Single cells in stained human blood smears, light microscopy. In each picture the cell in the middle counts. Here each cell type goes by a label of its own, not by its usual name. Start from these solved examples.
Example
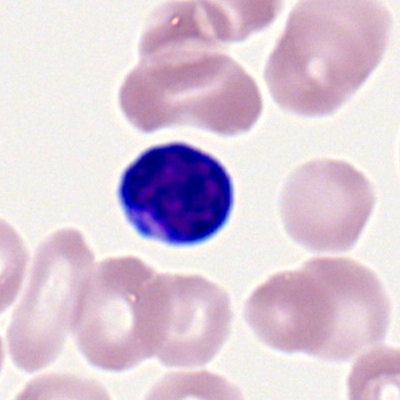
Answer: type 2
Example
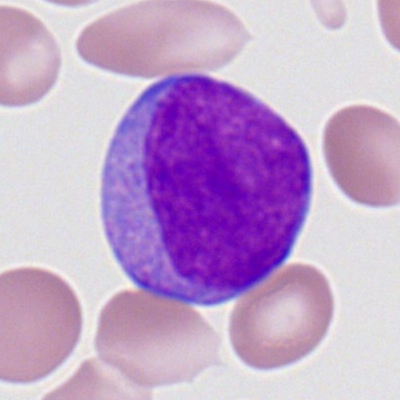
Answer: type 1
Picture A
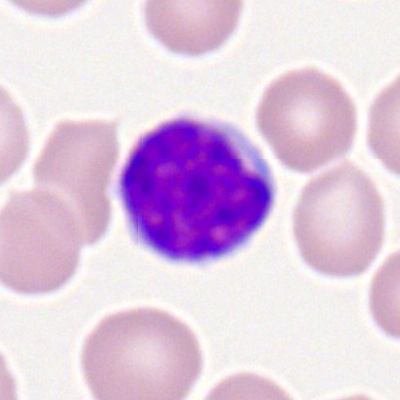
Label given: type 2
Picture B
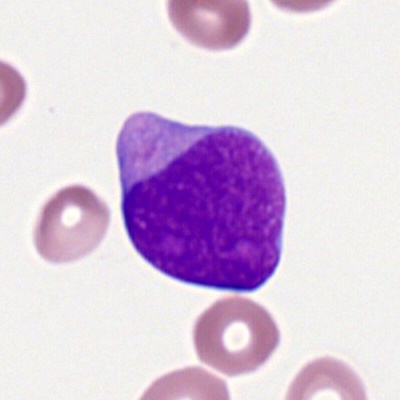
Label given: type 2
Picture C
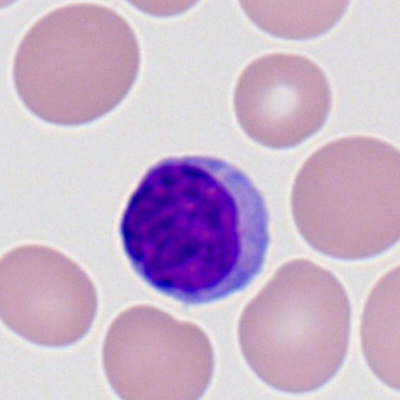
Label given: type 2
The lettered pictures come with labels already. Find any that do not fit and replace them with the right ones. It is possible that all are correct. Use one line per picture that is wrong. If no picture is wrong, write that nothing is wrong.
B: not type 2 but type 1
